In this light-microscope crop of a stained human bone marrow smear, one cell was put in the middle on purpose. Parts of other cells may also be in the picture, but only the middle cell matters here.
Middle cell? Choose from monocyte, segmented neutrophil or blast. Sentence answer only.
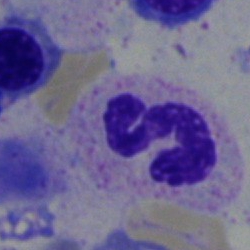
At the center of the crop sits a segmented neutrophil.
